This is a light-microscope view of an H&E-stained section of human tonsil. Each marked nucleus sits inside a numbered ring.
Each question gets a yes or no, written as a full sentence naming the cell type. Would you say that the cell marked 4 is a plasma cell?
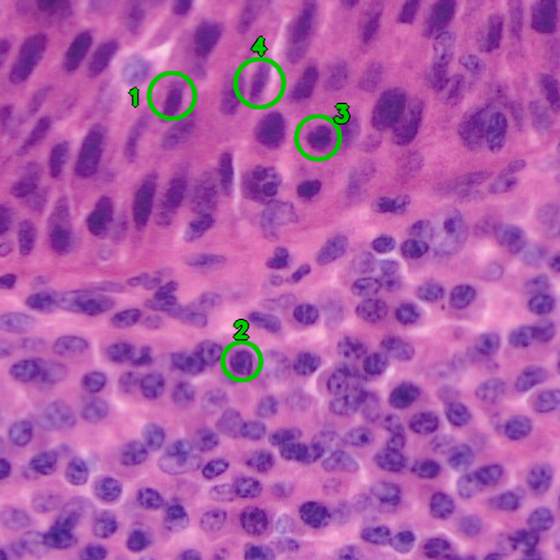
No, for cell 4, the correct identification is a squamous epithelial cell instead of a plasma cell.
